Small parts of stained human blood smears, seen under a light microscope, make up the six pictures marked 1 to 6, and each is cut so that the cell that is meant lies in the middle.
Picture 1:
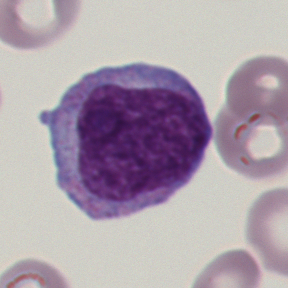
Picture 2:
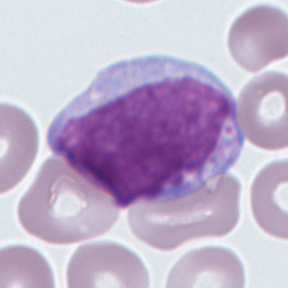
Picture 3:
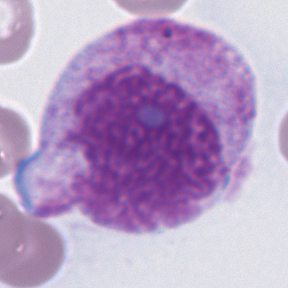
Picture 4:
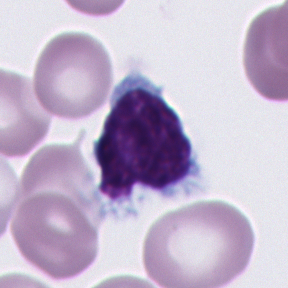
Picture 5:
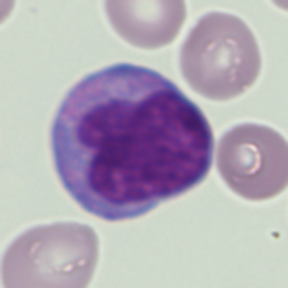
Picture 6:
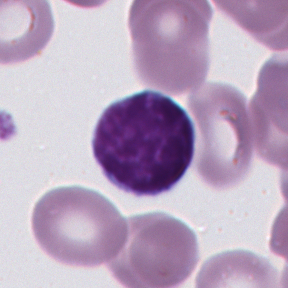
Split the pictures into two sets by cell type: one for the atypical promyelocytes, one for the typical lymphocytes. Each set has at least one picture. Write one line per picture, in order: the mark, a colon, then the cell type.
1: atypical promyelocyte
2: atypical promyelocyte
3: atypical promyelocyte
4: typical lymphocyte
5: atypical promyelocyte
6: typical lymphocyte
